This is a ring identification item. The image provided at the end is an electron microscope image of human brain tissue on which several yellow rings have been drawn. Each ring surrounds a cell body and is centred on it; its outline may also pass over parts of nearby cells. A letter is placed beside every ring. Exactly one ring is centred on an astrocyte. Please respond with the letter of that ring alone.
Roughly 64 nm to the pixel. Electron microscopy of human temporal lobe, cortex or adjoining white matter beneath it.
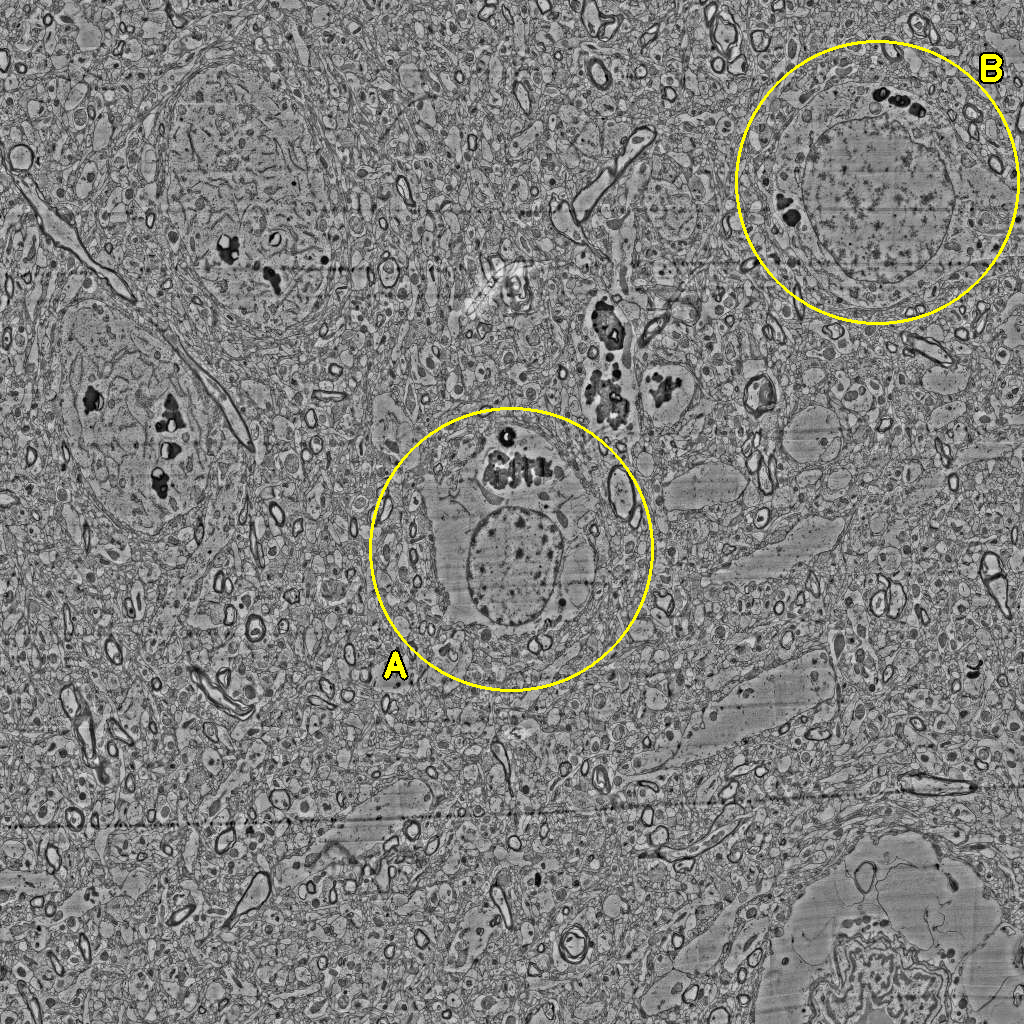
A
